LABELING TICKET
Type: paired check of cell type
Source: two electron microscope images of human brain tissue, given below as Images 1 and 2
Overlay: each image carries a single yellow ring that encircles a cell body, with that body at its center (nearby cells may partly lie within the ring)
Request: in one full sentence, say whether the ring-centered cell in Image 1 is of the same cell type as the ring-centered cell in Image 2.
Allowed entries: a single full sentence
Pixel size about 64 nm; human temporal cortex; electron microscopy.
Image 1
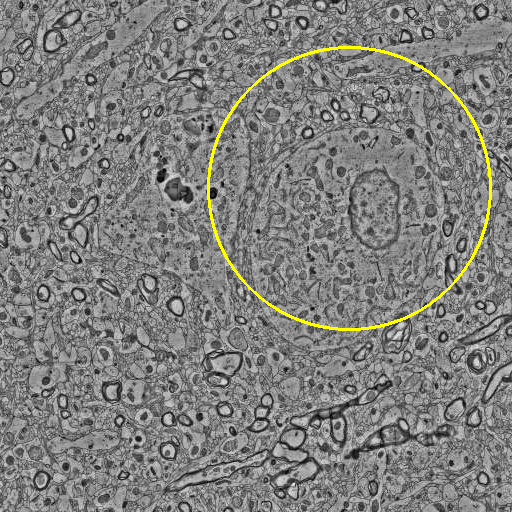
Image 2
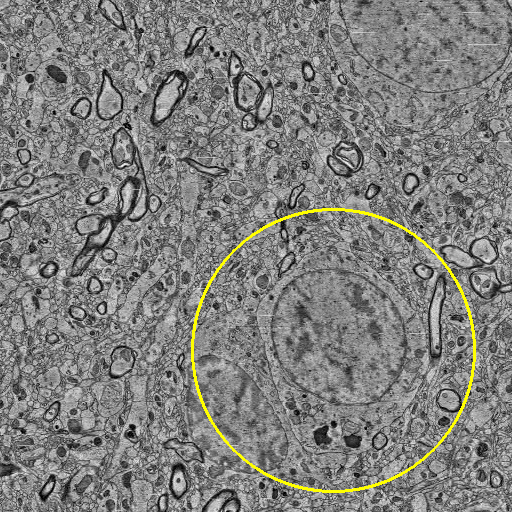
Yes, the cells centered in the rings of Image 1 and Image 2 share one type.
